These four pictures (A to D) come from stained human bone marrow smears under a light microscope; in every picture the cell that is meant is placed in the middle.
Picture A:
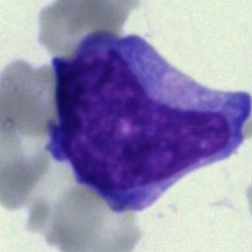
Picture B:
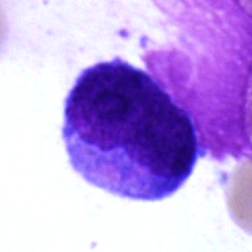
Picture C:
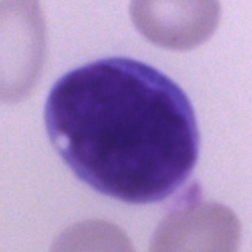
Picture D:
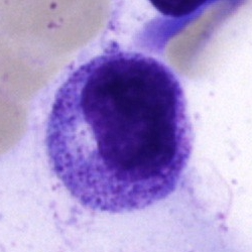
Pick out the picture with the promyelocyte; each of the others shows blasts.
D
